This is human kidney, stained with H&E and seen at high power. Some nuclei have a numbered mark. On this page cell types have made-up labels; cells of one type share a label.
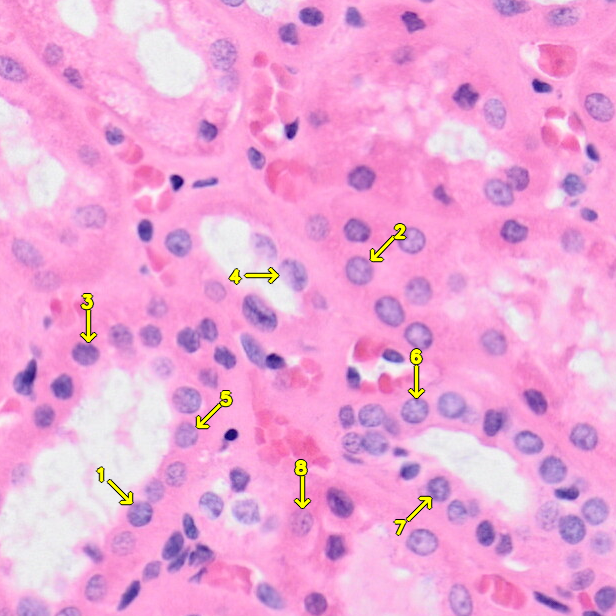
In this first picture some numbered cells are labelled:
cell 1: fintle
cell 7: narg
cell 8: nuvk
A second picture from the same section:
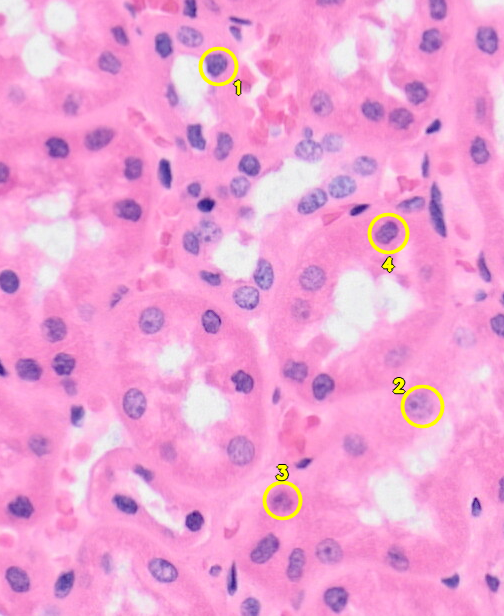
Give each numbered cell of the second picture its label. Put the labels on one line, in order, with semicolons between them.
fintle; nuvk; nuvk; nuvk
